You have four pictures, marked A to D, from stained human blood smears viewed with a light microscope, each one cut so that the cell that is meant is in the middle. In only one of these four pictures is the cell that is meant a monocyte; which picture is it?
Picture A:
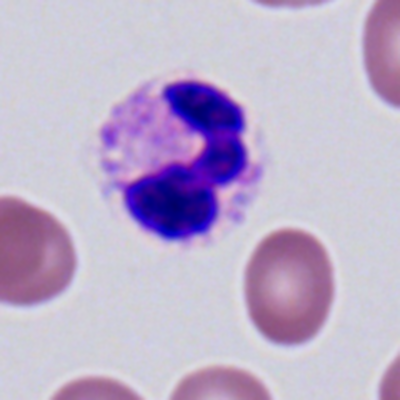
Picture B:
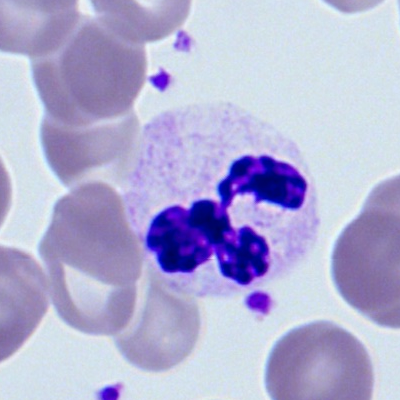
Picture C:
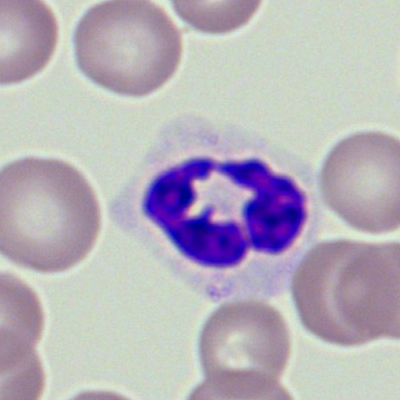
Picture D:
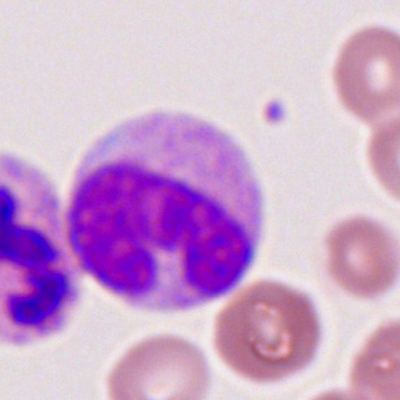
D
